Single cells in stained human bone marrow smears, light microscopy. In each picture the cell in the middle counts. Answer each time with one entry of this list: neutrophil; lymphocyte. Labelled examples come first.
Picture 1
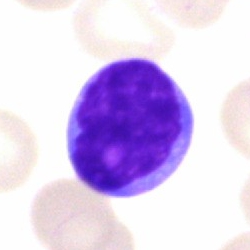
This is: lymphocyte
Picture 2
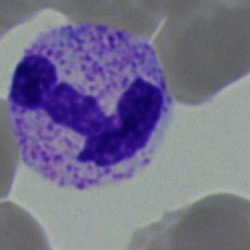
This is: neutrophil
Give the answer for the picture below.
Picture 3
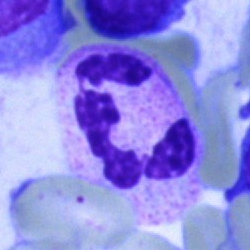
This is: neutrophil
